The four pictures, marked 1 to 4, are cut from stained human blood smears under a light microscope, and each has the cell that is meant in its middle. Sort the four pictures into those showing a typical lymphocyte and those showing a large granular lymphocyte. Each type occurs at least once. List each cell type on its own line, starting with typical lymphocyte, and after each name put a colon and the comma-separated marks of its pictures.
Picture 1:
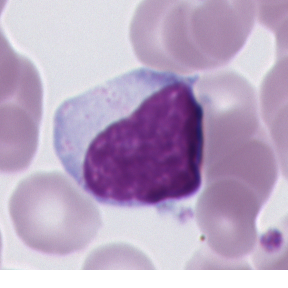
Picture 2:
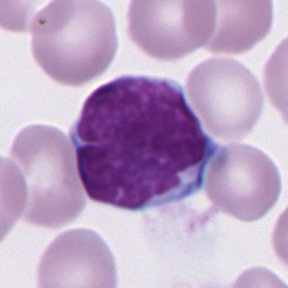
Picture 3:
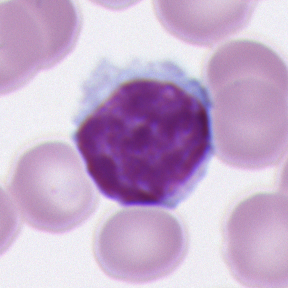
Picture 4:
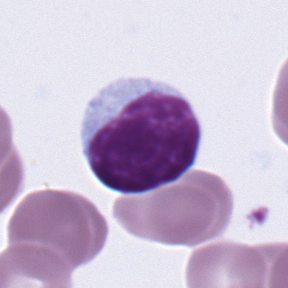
typical lymphocyte: 2, 3, 4
large granular lymphocyte: 1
